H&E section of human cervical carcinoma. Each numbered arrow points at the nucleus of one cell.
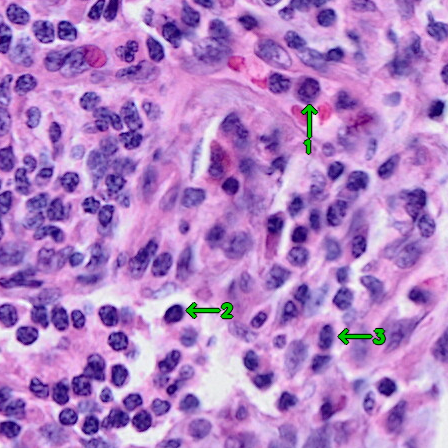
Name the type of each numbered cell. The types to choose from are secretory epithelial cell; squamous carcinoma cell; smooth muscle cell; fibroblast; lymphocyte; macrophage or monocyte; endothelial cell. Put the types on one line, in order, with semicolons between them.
endothelial cell; lymphocyte; lymphocyte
